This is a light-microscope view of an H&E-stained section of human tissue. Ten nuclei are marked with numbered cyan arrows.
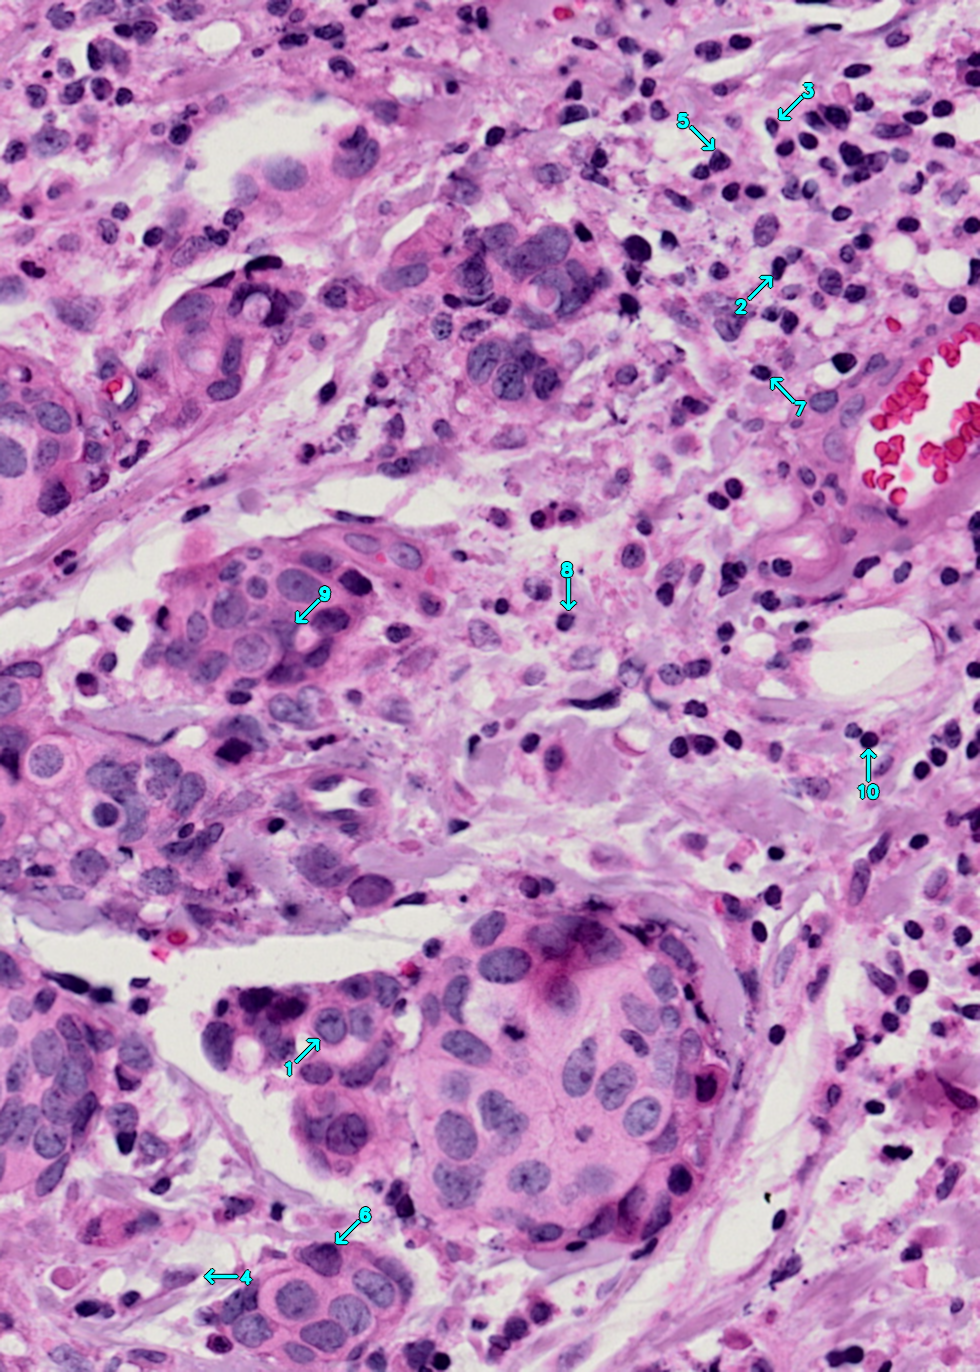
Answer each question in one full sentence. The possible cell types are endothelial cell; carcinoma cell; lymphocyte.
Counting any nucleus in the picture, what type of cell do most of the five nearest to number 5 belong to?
Around number 5, most of the five nearest nuclei are those of lymphocytes.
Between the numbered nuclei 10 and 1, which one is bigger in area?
Number 1 is larger; its area is about 4 times that of number 10.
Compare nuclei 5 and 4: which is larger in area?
Nucleus 4 is larger, with an area about 2 times that of nucleus 5.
